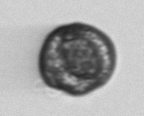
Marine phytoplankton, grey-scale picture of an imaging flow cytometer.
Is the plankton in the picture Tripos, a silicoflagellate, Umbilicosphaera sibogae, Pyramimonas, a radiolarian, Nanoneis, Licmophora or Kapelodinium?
It is Umbilicosphaera sibogae.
